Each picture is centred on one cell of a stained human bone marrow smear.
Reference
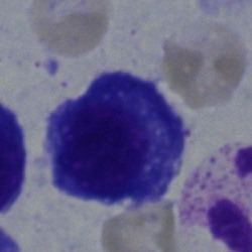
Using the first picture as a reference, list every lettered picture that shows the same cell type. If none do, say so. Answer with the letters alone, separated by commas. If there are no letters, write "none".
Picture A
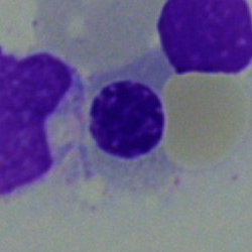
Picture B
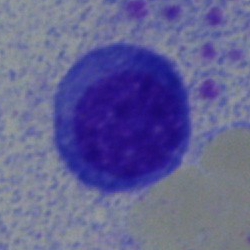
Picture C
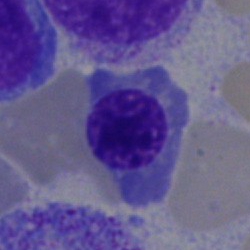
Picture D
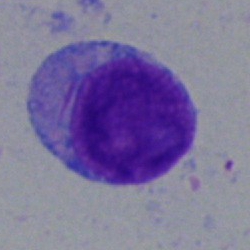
B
